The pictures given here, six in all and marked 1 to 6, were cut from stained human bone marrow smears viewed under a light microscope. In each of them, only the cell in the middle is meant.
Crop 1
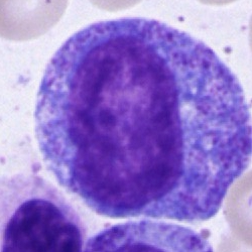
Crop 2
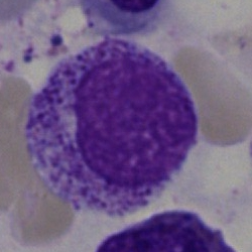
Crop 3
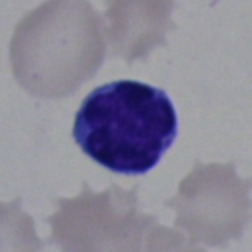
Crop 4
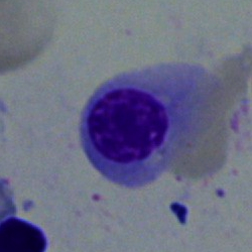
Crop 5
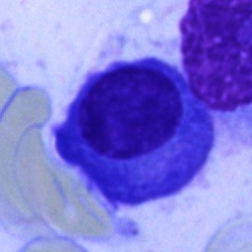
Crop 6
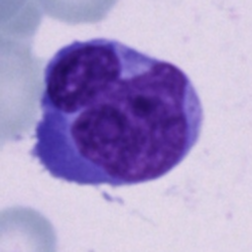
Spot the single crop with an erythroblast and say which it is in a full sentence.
It is crop 4 that shows an erythroblast.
